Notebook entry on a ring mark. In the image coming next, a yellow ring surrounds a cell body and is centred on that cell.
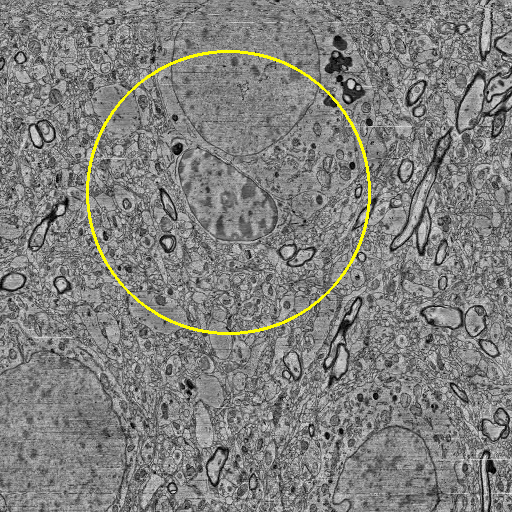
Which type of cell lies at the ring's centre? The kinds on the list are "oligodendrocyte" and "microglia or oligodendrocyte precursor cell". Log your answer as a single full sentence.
Centred in the yellow ring is a microglial cell or oligodendrocyte precursor cell, the cell recorded for this image.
